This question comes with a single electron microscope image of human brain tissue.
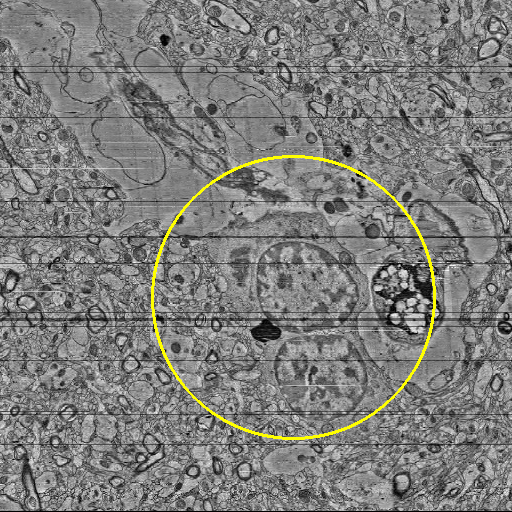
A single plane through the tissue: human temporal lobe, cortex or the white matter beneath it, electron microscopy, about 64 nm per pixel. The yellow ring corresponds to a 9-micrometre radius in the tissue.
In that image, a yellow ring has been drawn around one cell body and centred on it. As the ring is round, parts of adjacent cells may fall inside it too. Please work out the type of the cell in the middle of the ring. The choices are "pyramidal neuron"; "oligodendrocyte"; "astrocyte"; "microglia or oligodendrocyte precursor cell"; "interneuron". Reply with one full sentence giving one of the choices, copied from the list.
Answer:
Of the choices, an oligodendrocyte is the cell sitting in the middle of the ring.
